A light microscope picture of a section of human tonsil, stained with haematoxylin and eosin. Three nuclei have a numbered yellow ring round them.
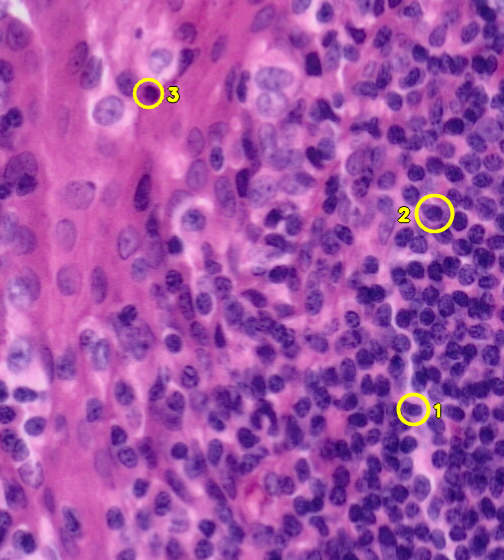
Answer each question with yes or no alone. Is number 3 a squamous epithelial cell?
yes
